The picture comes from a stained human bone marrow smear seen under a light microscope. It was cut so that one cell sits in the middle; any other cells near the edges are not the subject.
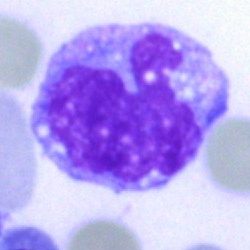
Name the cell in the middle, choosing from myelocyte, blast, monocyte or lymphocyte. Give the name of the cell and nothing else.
monocyte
